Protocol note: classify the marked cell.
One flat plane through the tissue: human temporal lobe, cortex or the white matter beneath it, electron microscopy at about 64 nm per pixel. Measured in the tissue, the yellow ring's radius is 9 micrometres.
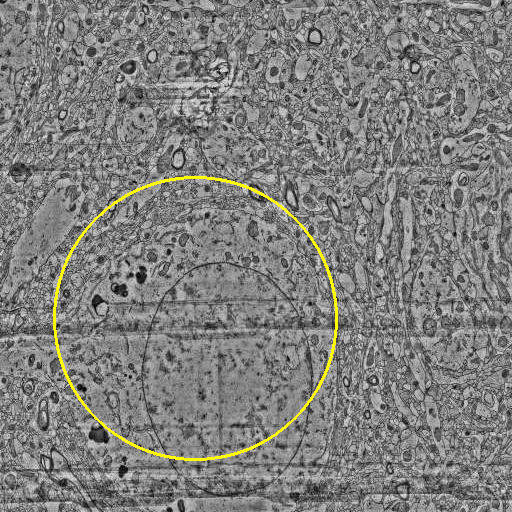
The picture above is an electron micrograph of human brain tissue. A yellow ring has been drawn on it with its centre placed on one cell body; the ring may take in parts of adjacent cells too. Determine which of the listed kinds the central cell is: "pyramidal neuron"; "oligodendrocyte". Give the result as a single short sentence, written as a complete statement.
The central cell is a pyramidal neuron.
